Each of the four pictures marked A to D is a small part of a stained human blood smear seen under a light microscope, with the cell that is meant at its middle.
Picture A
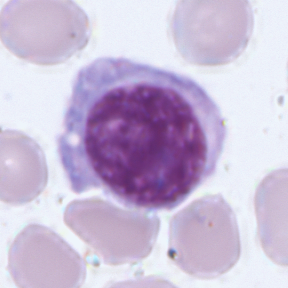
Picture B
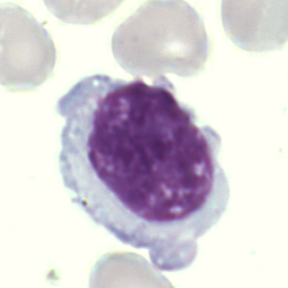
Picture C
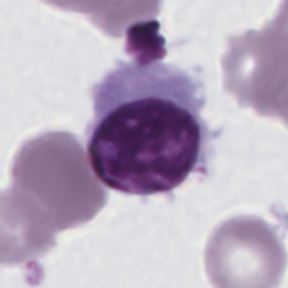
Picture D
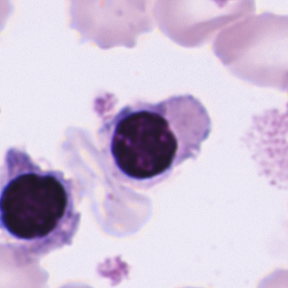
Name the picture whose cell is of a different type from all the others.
D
